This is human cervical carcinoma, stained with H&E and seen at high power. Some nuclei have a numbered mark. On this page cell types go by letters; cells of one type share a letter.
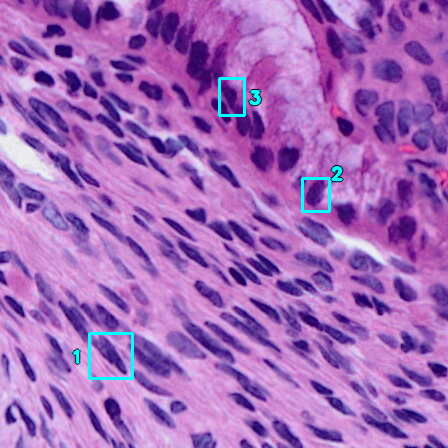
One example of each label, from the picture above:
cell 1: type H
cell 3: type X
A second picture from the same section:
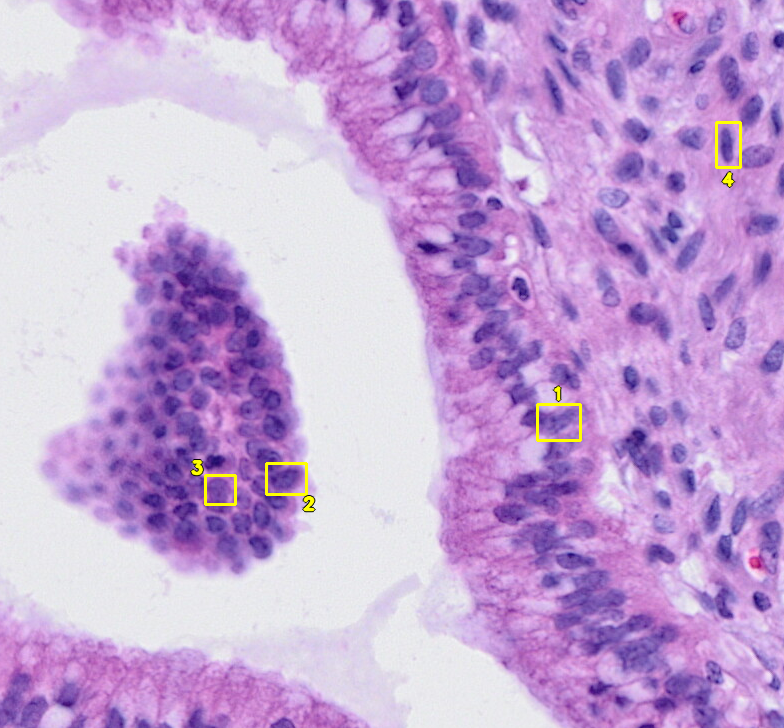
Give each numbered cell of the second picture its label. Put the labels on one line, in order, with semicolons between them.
type X; type X; type X; type H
